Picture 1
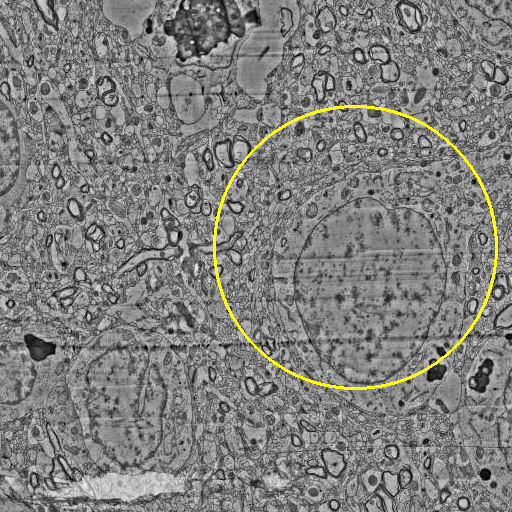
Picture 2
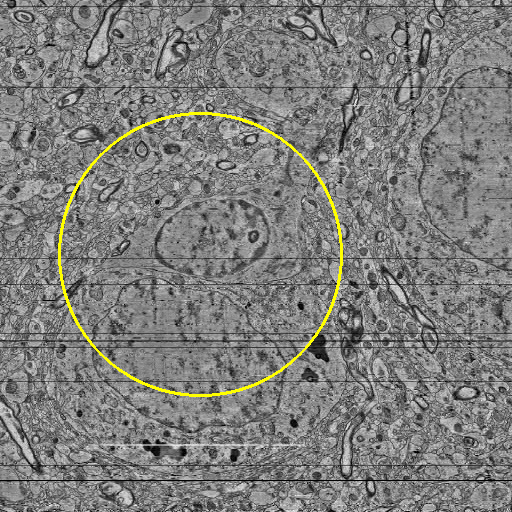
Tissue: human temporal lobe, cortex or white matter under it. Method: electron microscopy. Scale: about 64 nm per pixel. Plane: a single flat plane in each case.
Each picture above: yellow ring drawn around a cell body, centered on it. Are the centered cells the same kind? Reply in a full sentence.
No, the two cells are two kinds of cell.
